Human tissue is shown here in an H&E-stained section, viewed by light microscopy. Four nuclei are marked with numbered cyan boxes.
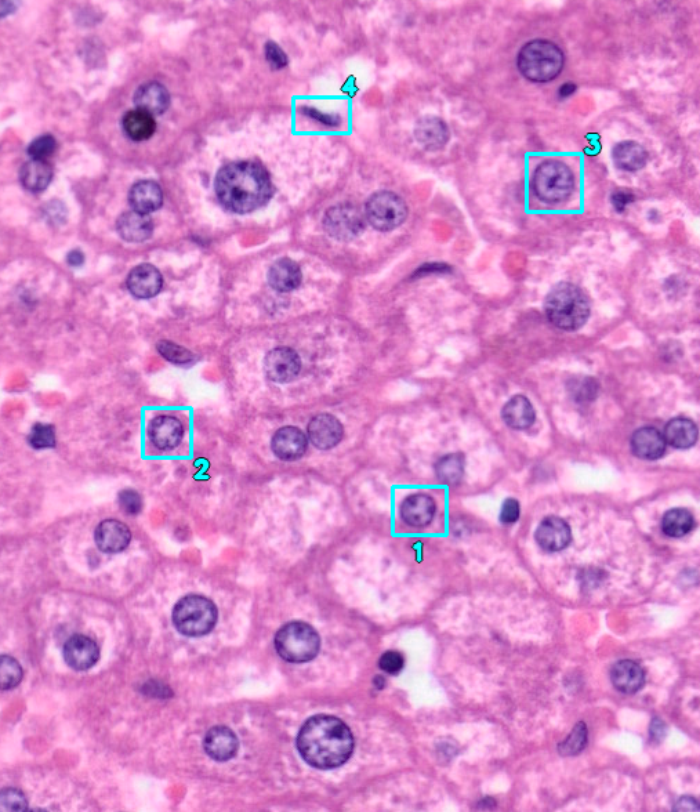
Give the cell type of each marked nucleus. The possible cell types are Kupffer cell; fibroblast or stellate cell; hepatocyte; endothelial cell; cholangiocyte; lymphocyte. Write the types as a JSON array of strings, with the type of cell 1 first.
["hepatocyte", "hepatocyte", "hepatocyte", "endothelial cell"]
